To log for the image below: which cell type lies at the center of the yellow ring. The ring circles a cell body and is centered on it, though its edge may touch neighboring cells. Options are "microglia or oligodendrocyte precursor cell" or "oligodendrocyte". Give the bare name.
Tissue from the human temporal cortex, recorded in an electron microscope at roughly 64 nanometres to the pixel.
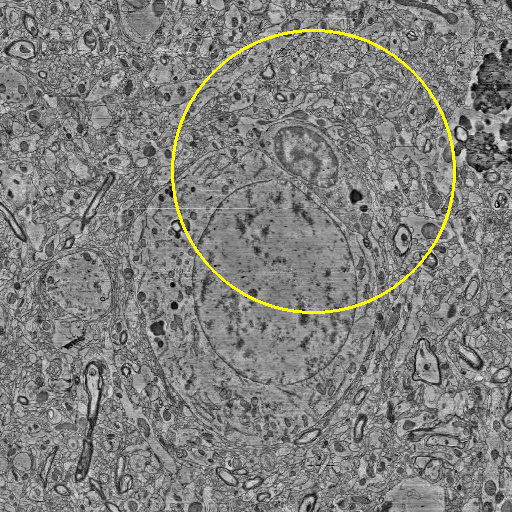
oligodendrocyte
